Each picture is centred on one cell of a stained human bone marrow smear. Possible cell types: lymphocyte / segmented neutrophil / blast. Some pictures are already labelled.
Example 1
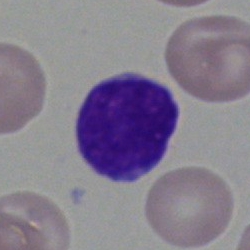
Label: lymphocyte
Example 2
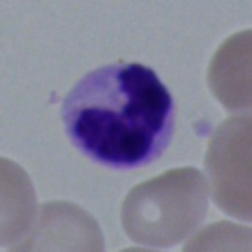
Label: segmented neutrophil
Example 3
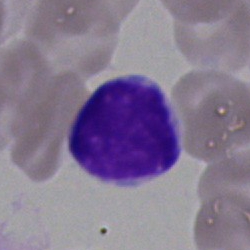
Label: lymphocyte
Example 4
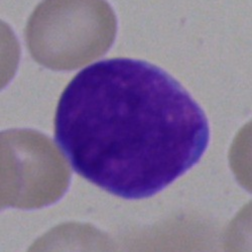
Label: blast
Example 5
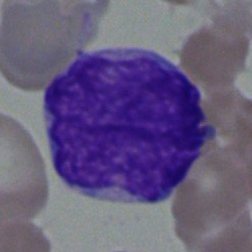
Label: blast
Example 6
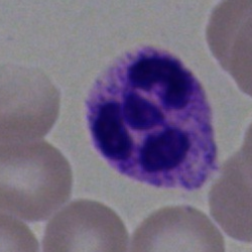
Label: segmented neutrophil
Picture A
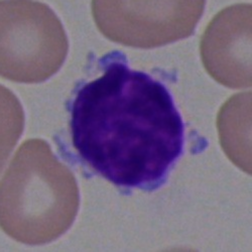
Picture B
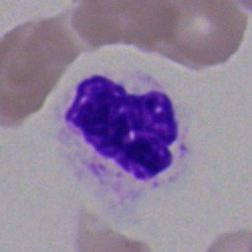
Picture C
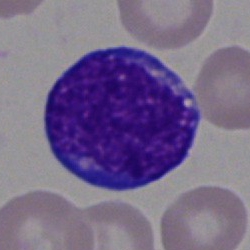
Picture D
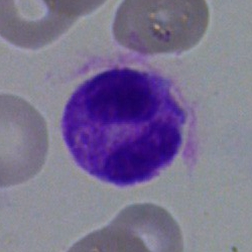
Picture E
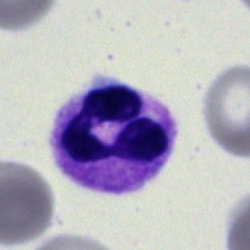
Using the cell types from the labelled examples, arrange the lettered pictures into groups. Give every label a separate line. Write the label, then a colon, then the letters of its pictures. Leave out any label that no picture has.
lymphocyte: A
segmented neutrophil: B, D, E
blast: C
